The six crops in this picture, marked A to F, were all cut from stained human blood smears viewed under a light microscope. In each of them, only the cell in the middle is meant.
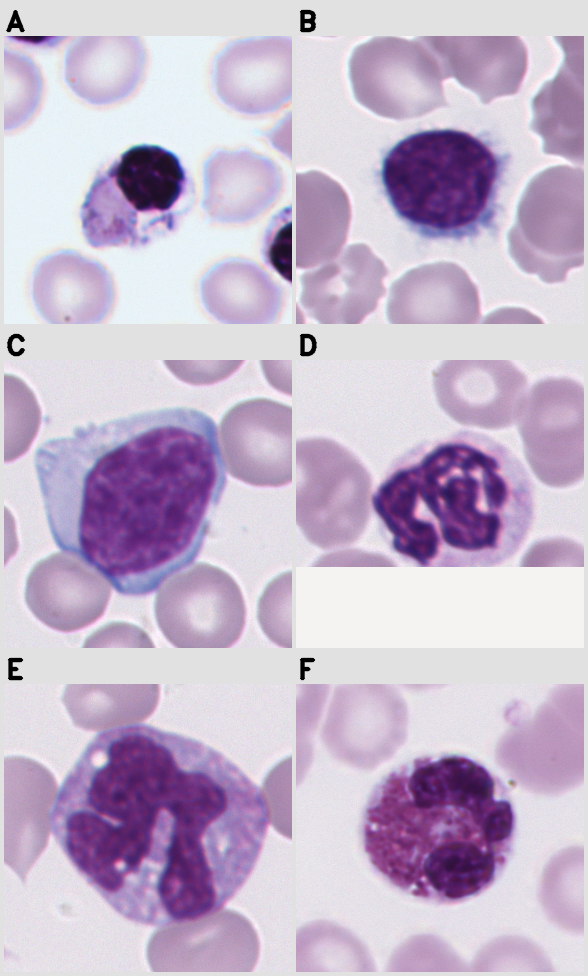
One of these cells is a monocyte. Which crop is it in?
E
